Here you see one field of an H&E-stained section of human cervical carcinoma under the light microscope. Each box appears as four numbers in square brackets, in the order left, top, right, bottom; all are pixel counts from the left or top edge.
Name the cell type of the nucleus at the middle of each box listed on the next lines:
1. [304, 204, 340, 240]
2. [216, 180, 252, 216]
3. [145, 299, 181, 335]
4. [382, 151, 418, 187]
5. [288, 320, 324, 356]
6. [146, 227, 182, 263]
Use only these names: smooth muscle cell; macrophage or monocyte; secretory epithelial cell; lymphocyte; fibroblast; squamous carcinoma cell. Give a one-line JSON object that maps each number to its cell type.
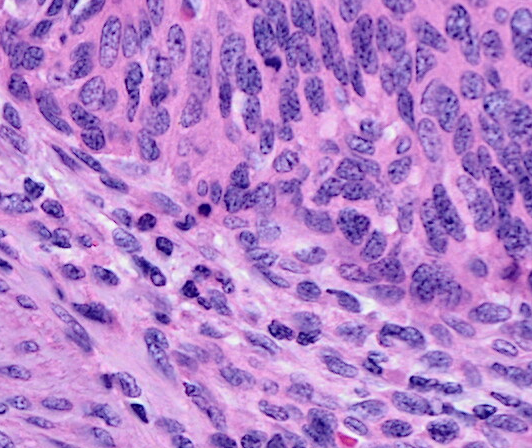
{"1": "squamous carcinoma cell", "2": "squamous carcinoma cell", "3": "lymphocyte", "4": "squamous carcinoma cell", "5": "lymphocyte", "6": "lymphocyte"}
